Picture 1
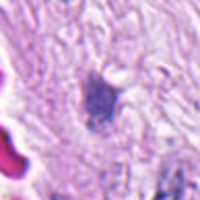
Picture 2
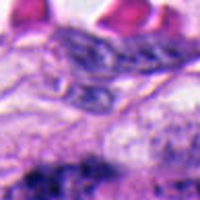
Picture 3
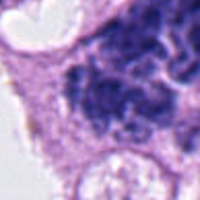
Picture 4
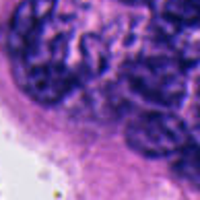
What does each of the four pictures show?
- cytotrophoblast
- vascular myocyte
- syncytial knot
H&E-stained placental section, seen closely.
1. cytotrophoblast
2. vascular myocyte
3. syncytial knot
4. syncytial knot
